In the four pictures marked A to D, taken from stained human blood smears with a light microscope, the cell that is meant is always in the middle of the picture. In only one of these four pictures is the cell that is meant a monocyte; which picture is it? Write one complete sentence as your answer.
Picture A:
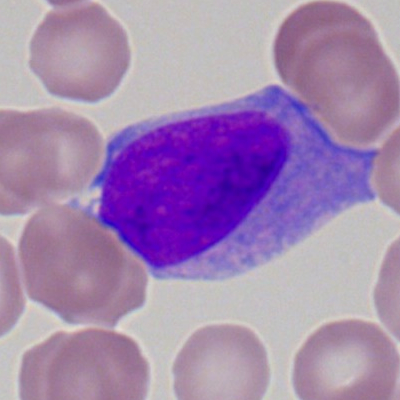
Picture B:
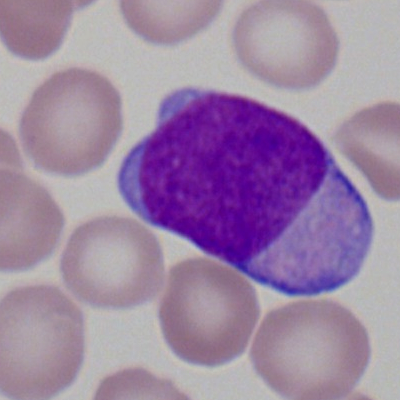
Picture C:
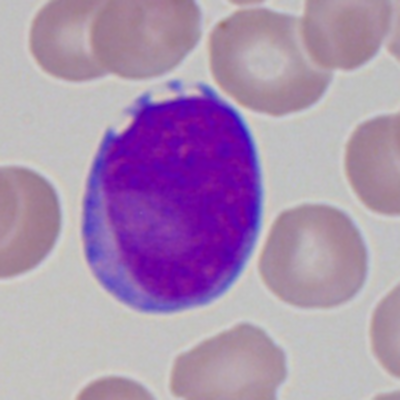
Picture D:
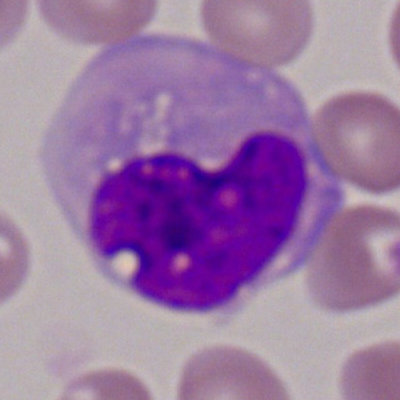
It is picture D that shows the monocyte.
